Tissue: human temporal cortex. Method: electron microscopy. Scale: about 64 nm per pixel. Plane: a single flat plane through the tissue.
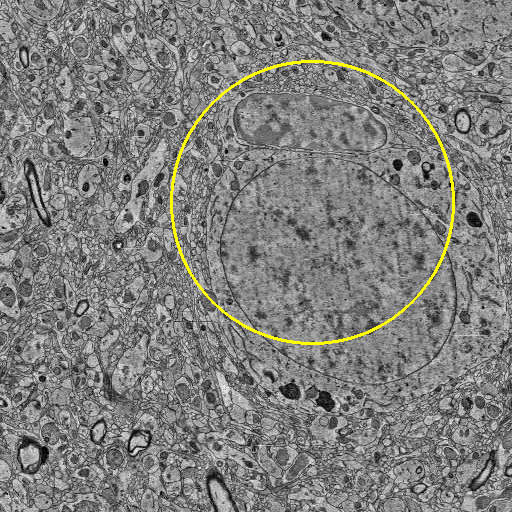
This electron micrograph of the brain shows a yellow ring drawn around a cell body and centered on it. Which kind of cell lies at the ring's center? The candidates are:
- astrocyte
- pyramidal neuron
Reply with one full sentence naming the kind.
The cell lying at the ring's center in this micrograph is a pyramidal neuron.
